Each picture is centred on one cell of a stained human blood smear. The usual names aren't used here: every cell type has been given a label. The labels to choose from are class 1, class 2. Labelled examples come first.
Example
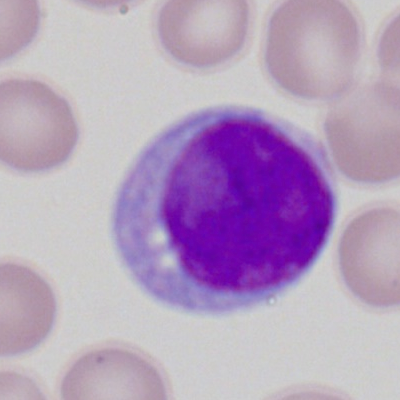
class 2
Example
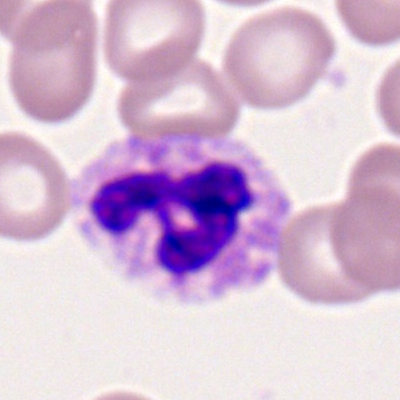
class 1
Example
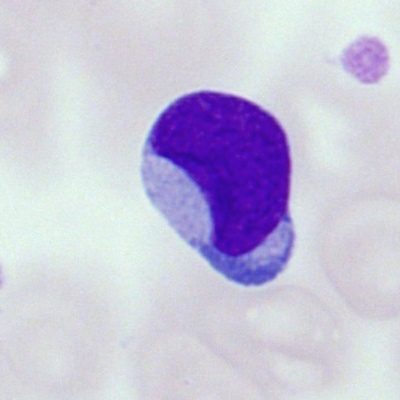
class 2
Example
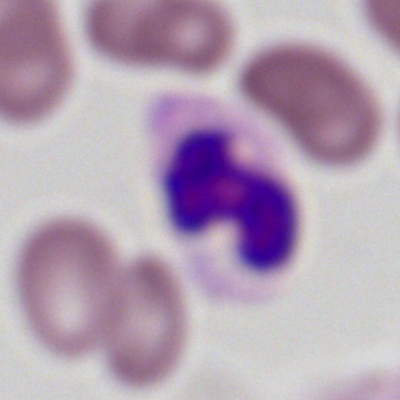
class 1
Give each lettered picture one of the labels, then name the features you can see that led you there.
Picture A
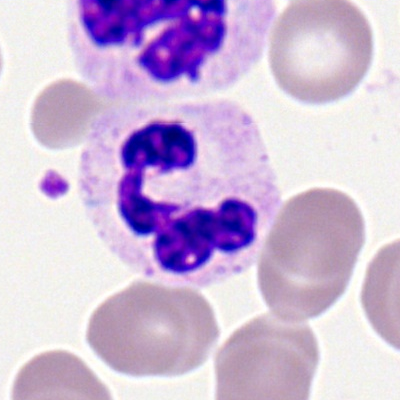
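class 1. The cytoplasm is plentiful and pale pinkish-lilac.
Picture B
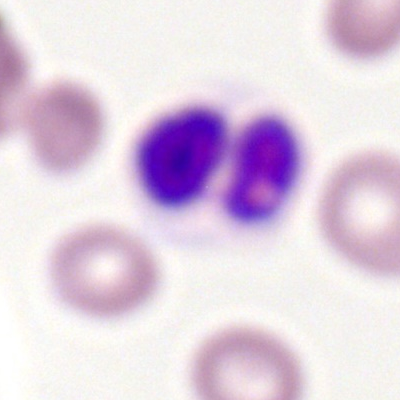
class 1. The nucleus is split into two separate lobes lying side by side.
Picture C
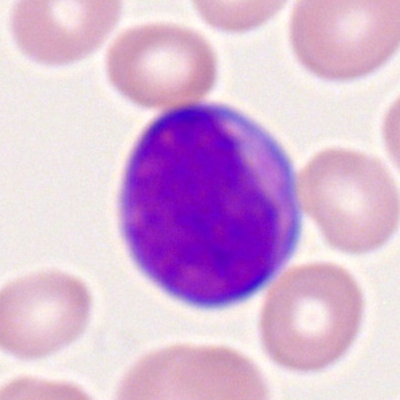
class 2. The nucleus fills almost the whole cell.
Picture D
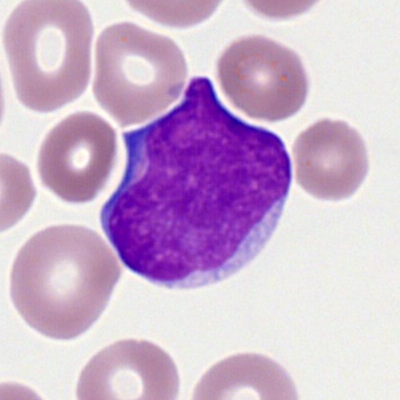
class 2. The nucleus fills most of the cell.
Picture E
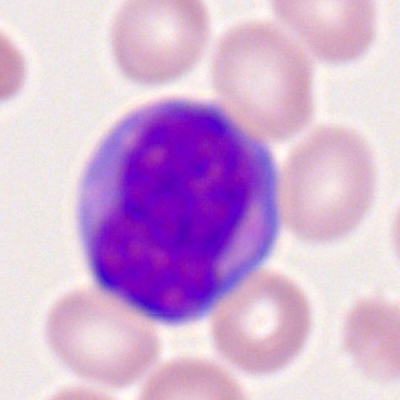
class 2. The nucleus fills most of the cell.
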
